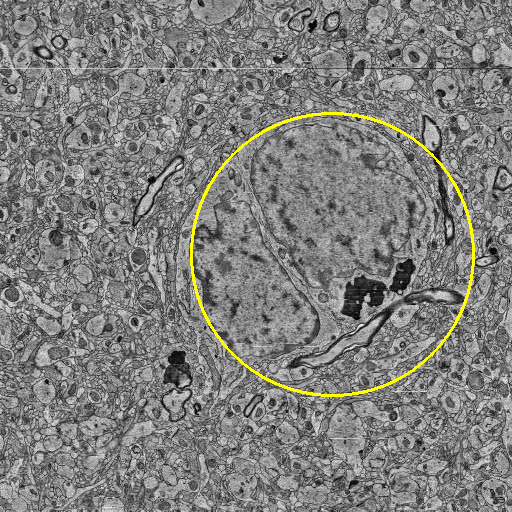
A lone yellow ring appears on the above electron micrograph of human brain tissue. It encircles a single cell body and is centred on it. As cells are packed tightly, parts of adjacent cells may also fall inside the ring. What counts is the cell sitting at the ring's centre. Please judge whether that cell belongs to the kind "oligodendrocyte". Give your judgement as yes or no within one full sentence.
No, the cell lying at the centre of the ring in the picture belongs to another kind.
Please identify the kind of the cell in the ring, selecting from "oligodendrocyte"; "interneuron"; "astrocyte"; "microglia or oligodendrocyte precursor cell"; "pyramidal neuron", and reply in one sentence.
The ring's central cell is an interneuron instead.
